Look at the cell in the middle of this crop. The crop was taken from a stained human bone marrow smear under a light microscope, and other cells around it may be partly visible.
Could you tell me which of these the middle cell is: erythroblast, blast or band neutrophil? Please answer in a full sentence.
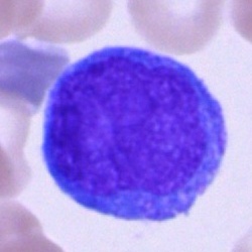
Positioned in the middle of the crop is a blast.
